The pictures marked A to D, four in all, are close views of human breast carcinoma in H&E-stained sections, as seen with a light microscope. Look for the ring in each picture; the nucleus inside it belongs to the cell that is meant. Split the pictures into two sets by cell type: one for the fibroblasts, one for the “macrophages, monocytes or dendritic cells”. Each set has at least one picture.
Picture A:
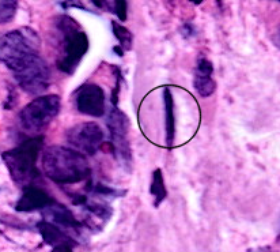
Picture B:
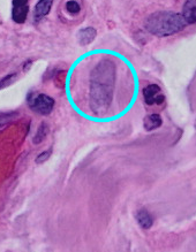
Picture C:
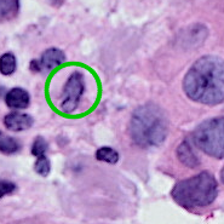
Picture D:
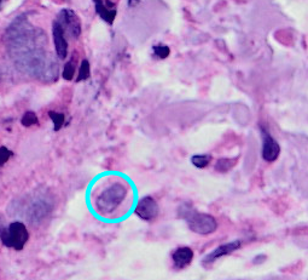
A: fibroblast
B: fibroblast
C: macrophage, monocyte or dendritic cell
D: macrophage, monocyte or dendritic cell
